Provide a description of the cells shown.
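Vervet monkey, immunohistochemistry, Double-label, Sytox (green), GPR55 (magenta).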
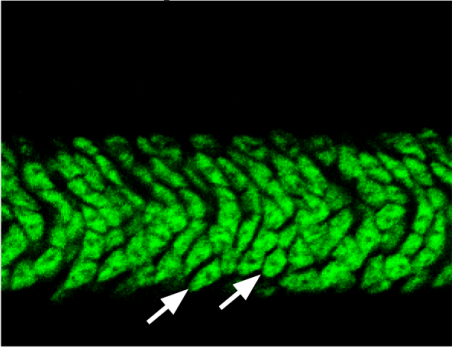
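Nuclear layer of the outer retina with many small, closely packed green nuclei of rods in several rows. The nuclei are round to oval with fine dark gaps between them, and the layer above them is dark.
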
